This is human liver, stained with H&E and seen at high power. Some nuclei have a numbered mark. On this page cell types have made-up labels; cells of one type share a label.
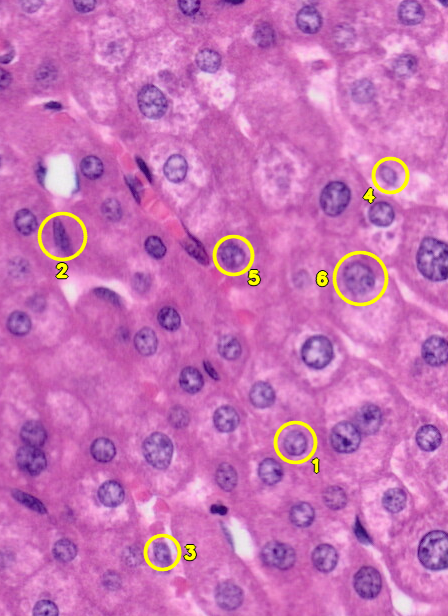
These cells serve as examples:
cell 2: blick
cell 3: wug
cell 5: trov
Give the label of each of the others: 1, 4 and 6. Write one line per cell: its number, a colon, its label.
1: trov
4: wug
6: trov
